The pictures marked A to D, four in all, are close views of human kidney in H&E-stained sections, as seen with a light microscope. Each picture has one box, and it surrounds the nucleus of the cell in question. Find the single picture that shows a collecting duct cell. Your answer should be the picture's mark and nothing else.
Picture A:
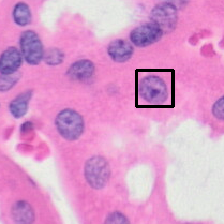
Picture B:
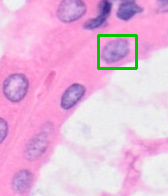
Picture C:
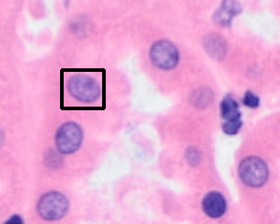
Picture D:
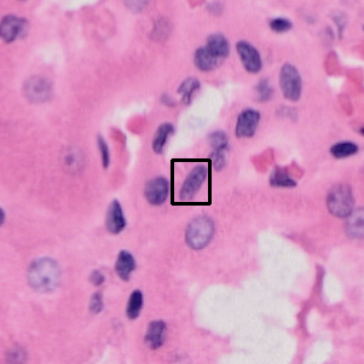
D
